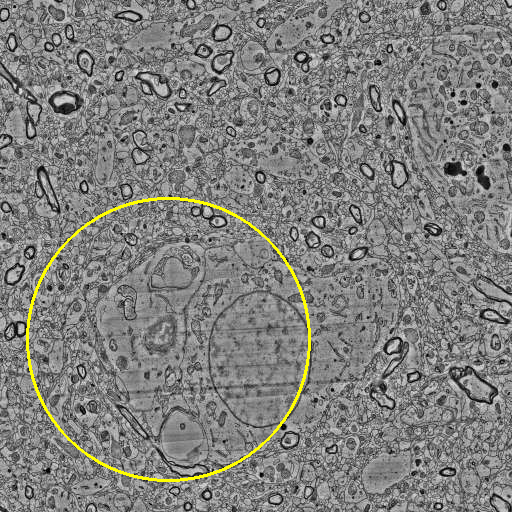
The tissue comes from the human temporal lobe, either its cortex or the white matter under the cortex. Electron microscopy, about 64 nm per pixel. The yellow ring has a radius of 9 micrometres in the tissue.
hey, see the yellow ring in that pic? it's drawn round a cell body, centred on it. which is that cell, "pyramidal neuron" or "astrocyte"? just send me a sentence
The cell in the ring is an astrocyte.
